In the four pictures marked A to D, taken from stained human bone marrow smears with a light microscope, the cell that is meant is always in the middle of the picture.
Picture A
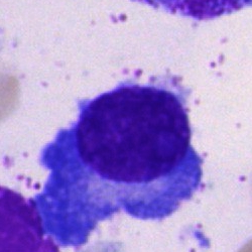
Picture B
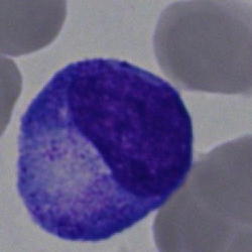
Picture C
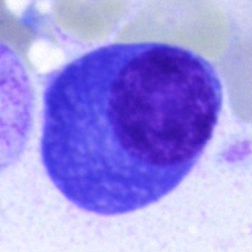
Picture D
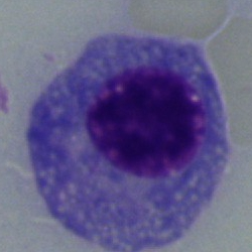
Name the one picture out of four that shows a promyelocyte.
B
